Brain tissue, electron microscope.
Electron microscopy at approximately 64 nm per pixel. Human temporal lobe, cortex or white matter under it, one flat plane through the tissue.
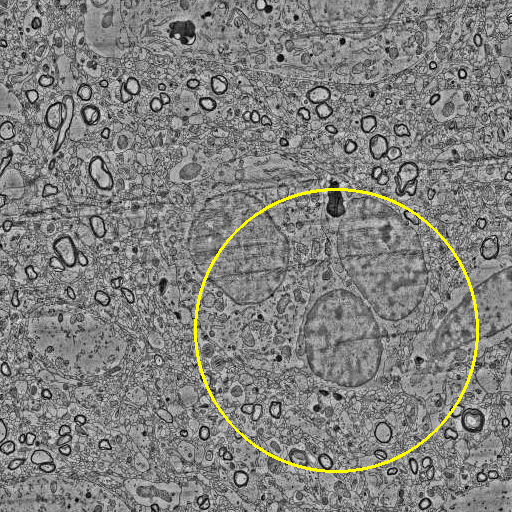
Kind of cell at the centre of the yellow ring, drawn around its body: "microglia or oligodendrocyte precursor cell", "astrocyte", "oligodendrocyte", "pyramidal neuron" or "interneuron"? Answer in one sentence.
The ring's centre falls on an oligodendrocyte.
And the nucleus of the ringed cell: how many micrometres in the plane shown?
The nucleus has a long axis of about 6 micrometres and a short axis of about 5 micrometres in this plane.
